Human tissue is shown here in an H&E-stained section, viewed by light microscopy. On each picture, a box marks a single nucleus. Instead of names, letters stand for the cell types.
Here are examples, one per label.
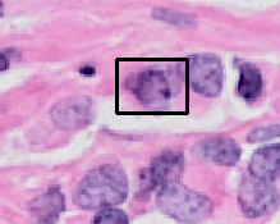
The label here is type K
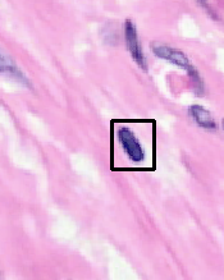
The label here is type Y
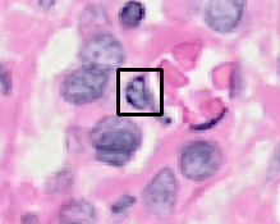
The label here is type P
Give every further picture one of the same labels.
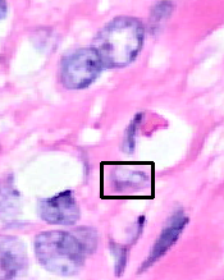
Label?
type P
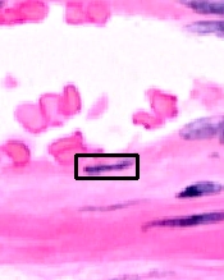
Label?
type P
